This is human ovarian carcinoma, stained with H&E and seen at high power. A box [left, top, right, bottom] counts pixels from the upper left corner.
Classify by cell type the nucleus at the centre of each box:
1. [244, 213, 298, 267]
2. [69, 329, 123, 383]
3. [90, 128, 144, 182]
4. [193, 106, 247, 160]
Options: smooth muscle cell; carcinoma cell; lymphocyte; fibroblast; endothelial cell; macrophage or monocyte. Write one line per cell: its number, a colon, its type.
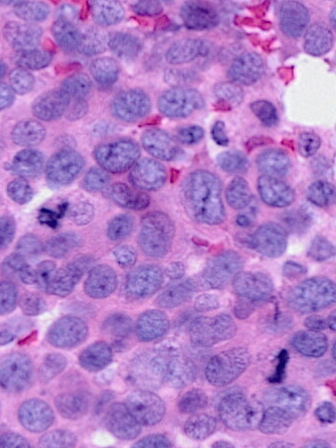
1: carcinoma cell
2: carcinoma cell
3: carcinoma cell
4: macrophage or monocyte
